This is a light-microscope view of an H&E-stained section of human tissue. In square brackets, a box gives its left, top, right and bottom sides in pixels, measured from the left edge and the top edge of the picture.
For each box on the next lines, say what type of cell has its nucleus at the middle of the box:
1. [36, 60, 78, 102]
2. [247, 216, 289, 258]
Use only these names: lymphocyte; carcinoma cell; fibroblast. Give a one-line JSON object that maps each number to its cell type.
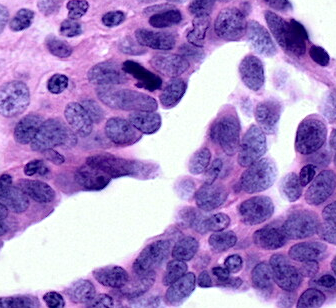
{"1": "lymphocyte", "2": "carcinoma cell"}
